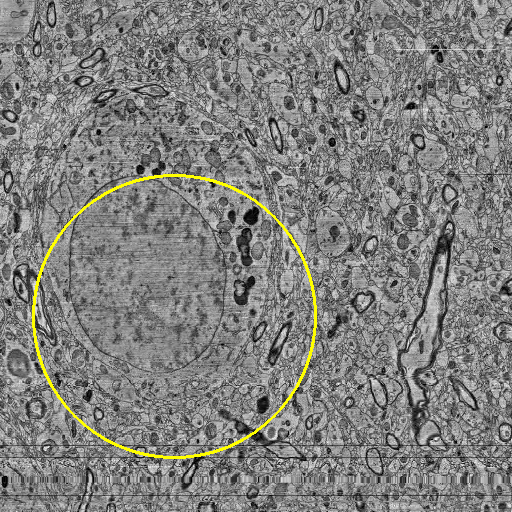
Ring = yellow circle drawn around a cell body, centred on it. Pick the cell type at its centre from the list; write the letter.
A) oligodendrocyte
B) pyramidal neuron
B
